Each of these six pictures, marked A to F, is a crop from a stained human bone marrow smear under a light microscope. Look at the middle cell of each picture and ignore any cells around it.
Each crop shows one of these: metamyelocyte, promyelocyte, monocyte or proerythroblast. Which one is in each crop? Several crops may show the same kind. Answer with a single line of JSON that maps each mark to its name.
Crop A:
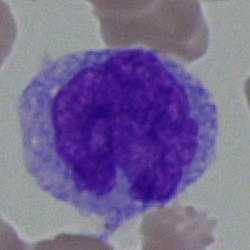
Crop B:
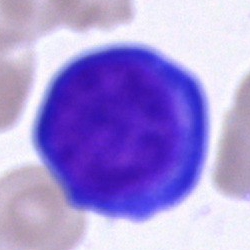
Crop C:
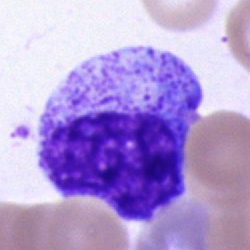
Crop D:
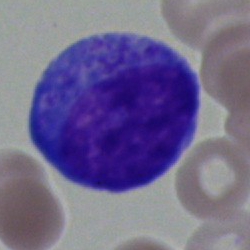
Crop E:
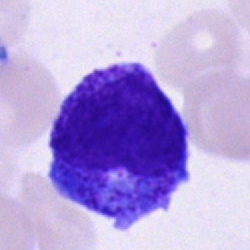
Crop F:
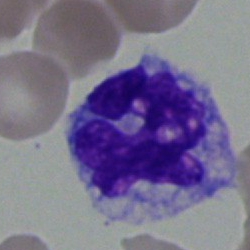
{"A": "monocyte", "B": "proerythroblast", "C": "promyelocyte", "D": "promyelocyte", "E": "promyelocyte", "F": "monocyte"}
